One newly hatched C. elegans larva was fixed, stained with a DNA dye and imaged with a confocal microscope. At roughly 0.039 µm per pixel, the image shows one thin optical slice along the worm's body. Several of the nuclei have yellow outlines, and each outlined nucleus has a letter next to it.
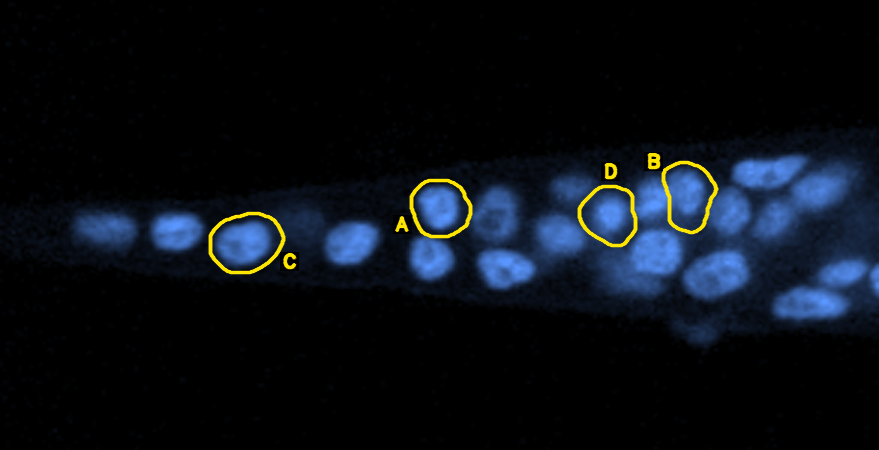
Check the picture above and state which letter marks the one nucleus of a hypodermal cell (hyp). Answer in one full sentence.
C is the one that belongs to a hypodermal cell (hyp).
